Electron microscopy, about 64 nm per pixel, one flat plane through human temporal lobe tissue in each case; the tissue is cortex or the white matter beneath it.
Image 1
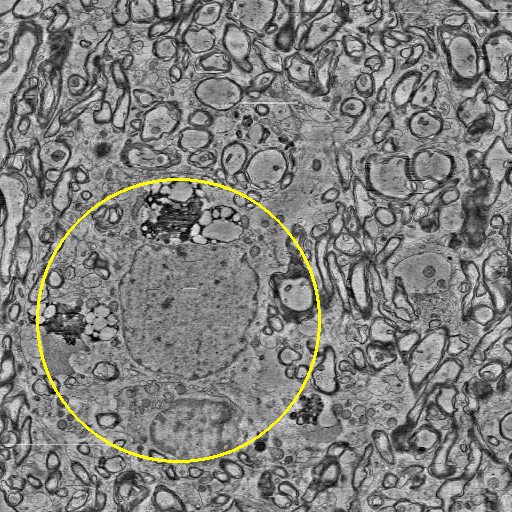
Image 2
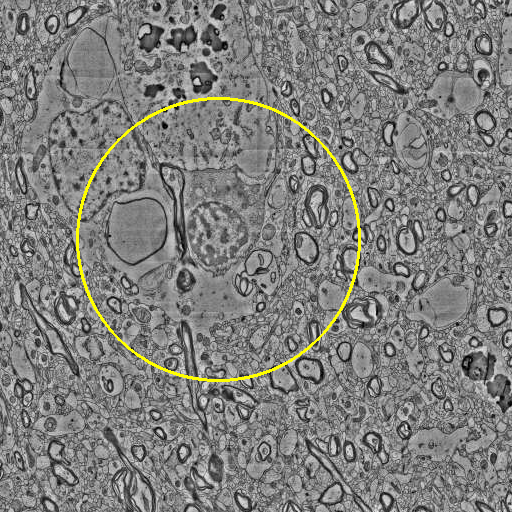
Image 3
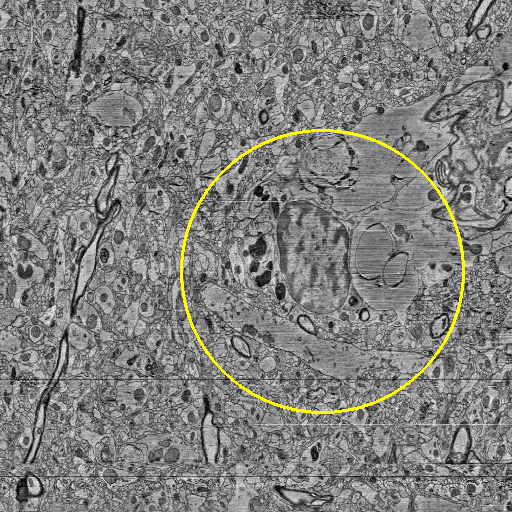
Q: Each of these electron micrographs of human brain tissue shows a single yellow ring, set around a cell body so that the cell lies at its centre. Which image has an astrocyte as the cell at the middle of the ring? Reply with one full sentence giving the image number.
In image 1, the cell lying at the ring's centre is the requested one.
